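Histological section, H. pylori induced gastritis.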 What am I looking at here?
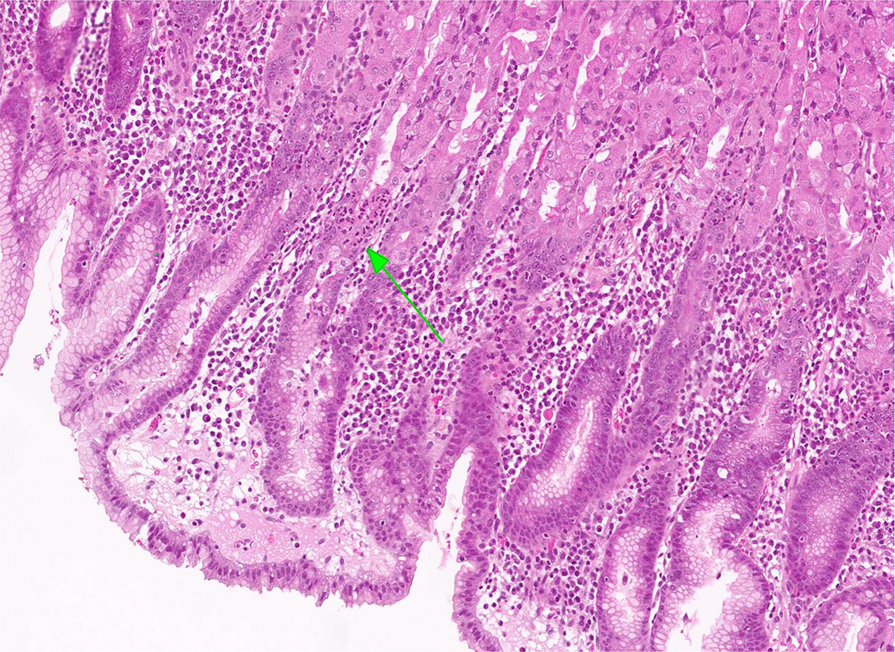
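This is gastric mucosa: surface and pit epithelium made of tall columnar cells with pale apical mucin, with deeper glands at the top right made of large cells with pink, granular cytoplasm and central round nuclei. The lamina propria between the pits and the upper glands is densely filled with small round inflammatory cells with dark nuclei, and in places these cells crowd into the glandular epithelium. In one mucosal fold at the lower left the lamina propria is loose and pale, with fewer cells.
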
